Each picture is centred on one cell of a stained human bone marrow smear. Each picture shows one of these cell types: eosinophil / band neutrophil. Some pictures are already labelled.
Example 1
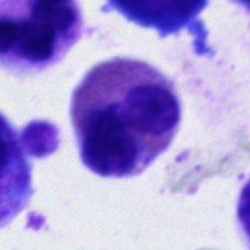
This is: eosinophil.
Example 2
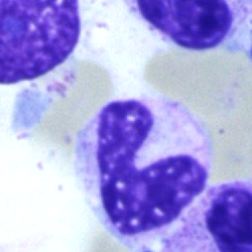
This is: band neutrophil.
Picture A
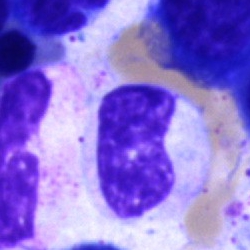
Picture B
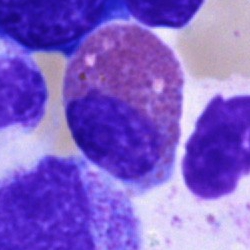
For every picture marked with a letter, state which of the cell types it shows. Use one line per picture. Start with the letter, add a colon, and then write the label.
A: band neutrophil.
B: eosinophil.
